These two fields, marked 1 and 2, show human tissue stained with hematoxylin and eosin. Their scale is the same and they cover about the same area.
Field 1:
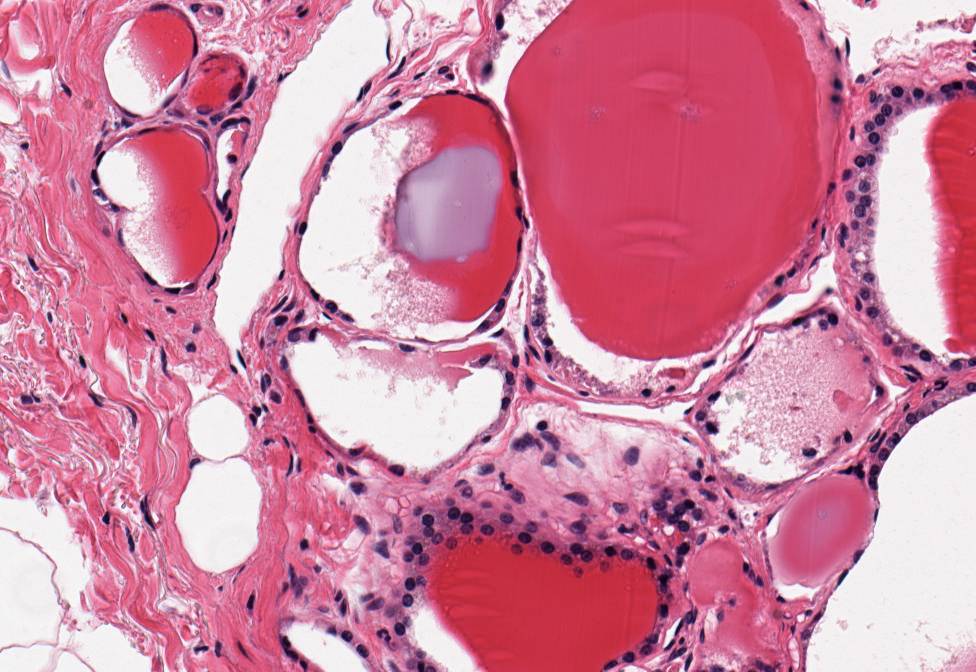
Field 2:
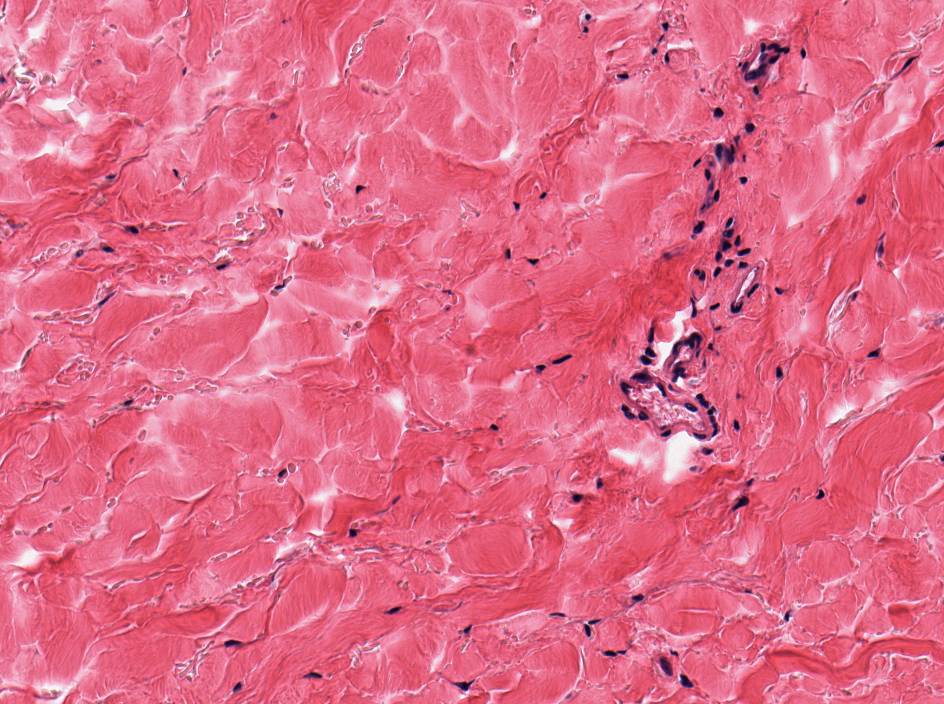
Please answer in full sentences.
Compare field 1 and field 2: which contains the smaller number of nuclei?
There are fewer nuclei in field 2.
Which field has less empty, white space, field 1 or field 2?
Field 2 has less white space.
